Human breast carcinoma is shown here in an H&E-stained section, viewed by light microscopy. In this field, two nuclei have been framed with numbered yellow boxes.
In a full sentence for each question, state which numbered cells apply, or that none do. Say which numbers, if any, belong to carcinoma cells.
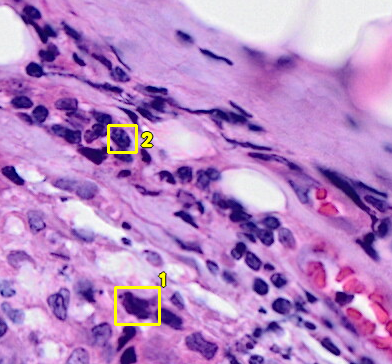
Of the numbered cells, only cell 1 is a carcinoma cell.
